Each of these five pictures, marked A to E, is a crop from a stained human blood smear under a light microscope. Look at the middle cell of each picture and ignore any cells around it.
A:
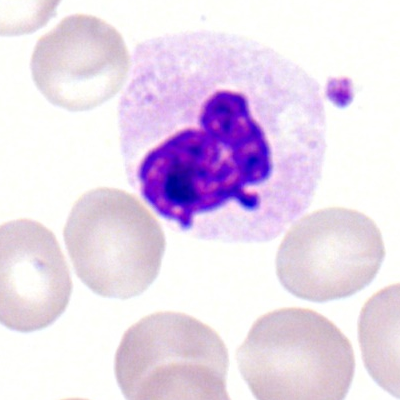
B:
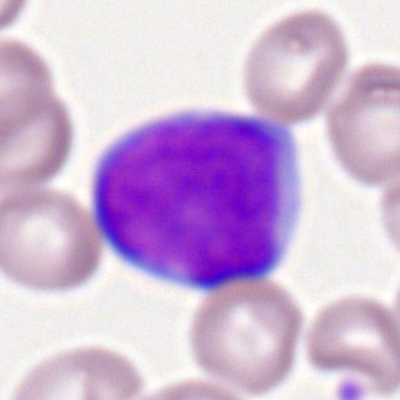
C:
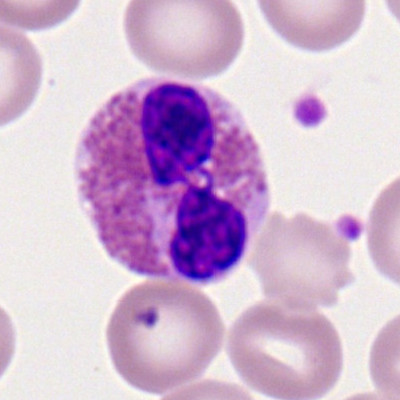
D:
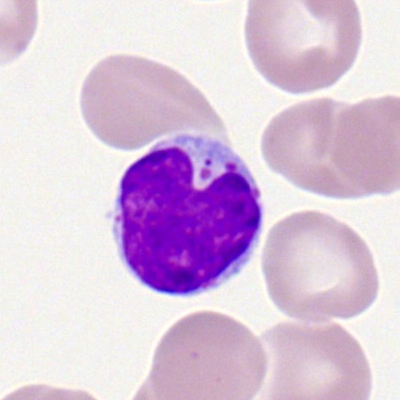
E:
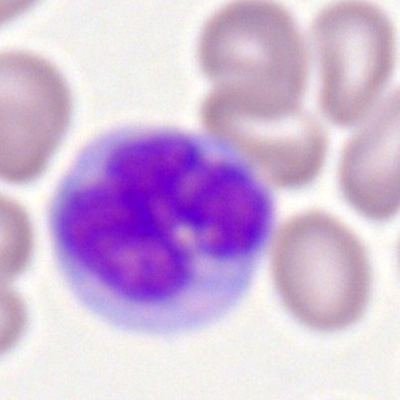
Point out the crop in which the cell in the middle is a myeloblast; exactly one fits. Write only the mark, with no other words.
B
